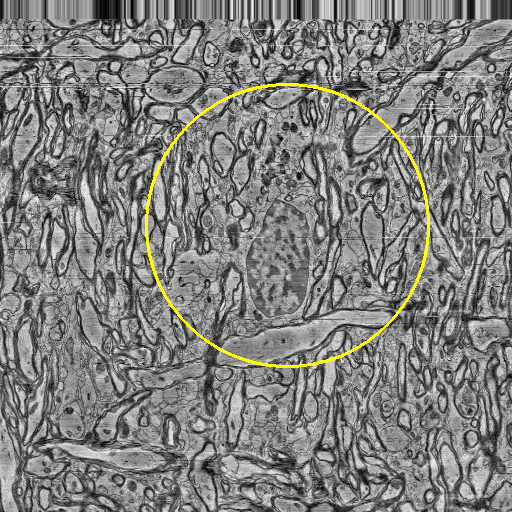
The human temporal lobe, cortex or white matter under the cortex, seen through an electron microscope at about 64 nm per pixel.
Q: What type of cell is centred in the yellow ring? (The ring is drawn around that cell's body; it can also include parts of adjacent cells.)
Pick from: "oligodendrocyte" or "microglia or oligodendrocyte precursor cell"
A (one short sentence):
The yellow ring is centred on a microglial cell or oligodendrocyte precursor cell.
